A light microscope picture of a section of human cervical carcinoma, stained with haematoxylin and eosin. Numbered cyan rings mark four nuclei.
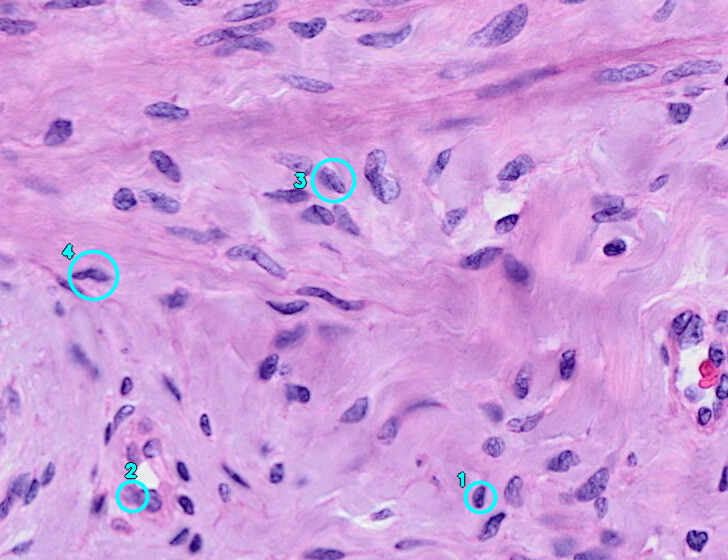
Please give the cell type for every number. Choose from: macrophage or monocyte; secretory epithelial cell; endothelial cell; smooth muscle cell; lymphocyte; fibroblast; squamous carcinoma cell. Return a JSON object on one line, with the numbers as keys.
{"1": "fibroblast", "2": "endothelial cell", "3": "fibroblast", "4": "fibroblast"}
